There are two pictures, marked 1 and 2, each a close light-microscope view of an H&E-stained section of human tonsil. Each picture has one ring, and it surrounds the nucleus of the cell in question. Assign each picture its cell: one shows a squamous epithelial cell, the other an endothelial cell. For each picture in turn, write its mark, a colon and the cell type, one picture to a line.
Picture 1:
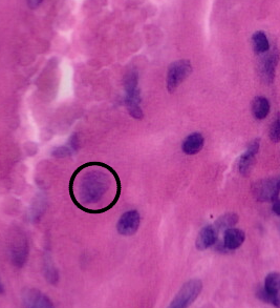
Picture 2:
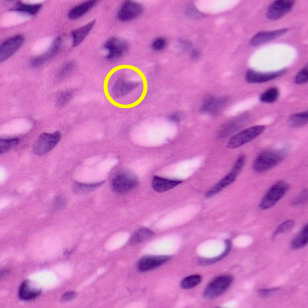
1: endothelial cell
2: squamous epithelial cell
